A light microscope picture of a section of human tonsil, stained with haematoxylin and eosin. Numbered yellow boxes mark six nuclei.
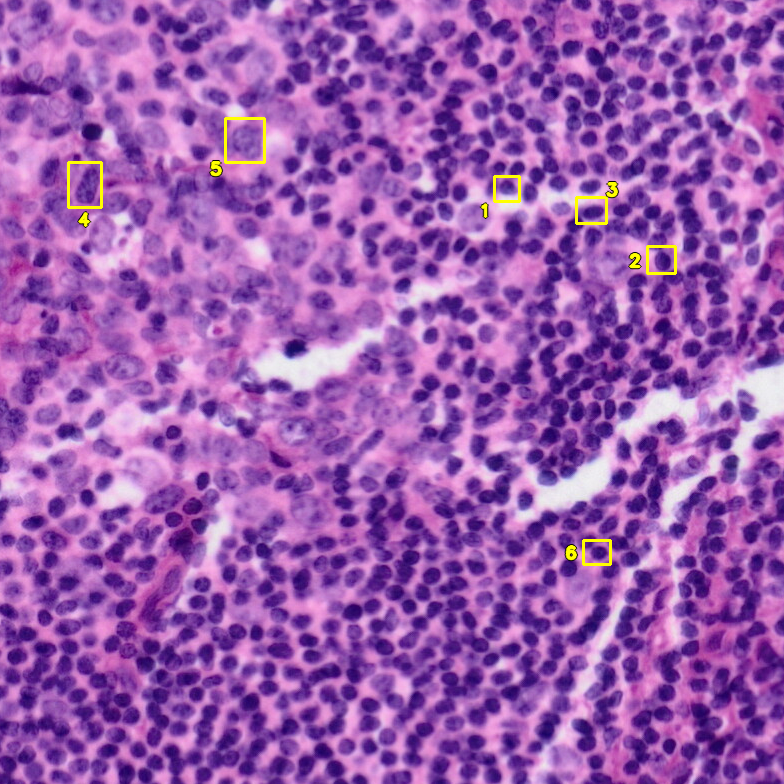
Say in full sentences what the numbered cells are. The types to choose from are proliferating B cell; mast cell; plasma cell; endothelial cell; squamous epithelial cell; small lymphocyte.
Cell 1 is a small lymphocyte, cell 2 is a small lymphocyte, cell 3 is a small lymphocyte, cell 4 is a proliferating B cell, cell 5 is a proliferating B cell and cell 6 is a small lymphocyte.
